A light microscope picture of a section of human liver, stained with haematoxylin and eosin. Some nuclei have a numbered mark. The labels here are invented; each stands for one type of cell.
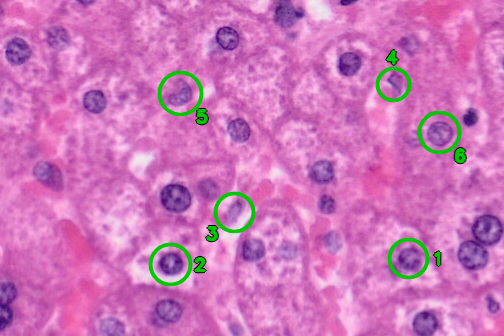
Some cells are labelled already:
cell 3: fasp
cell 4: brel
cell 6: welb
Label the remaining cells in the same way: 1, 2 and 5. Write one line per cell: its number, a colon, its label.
1: welb
2: welb
5: fasp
